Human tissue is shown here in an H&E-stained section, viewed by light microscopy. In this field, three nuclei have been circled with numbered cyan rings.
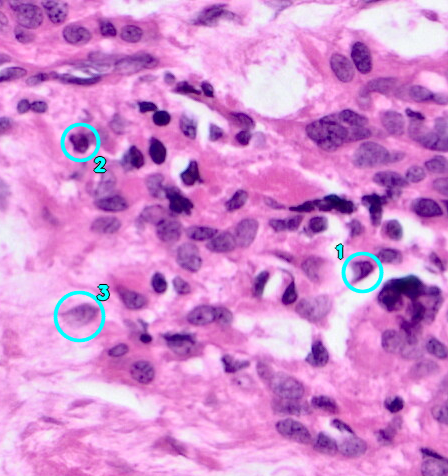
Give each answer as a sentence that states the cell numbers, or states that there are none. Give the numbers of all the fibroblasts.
Among all the marked cells, a fibroblast is found only at number 3.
